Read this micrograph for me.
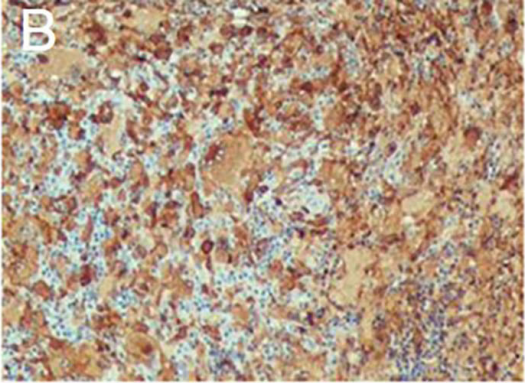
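This tissue shows large histiocyte-like cells with strong brown staining of their abundant cytoplasm, spread throughout the field. The small unstained cells are more densely packed toward the lower right of the field. The brown stain is diffuse rather than confined to cell membranes.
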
